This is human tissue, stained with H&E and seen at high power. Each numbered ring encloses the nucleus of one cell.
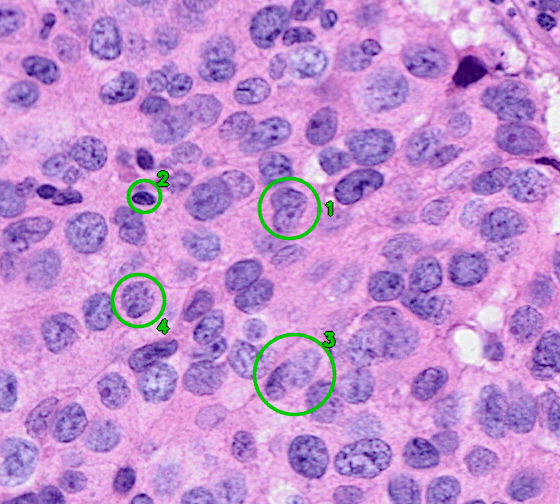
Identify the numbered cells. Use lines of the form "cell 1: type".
cell 1: carcinoma cell
cell 2: lymphocyte
cell 3: carcinoma cell
cell 4: carcinoma cell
